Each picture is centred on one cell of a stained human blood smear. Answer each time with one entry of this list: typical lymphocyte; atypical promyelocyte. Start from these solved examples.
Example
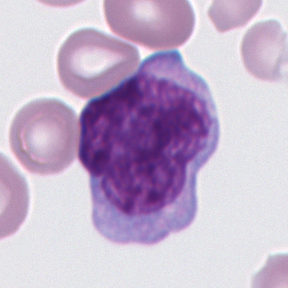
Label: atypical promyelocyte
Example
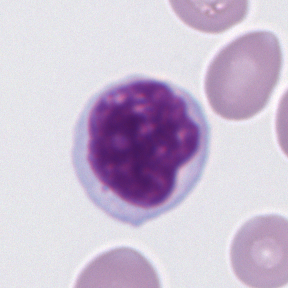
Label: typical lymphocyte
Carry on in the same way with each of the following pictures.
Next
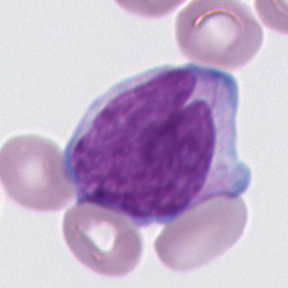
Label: atypical promyelocyte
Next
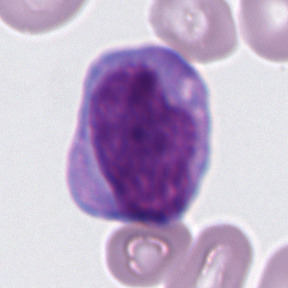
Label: atypical promyelocyte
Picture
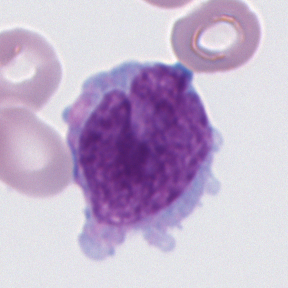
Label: atypical promyelocyte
